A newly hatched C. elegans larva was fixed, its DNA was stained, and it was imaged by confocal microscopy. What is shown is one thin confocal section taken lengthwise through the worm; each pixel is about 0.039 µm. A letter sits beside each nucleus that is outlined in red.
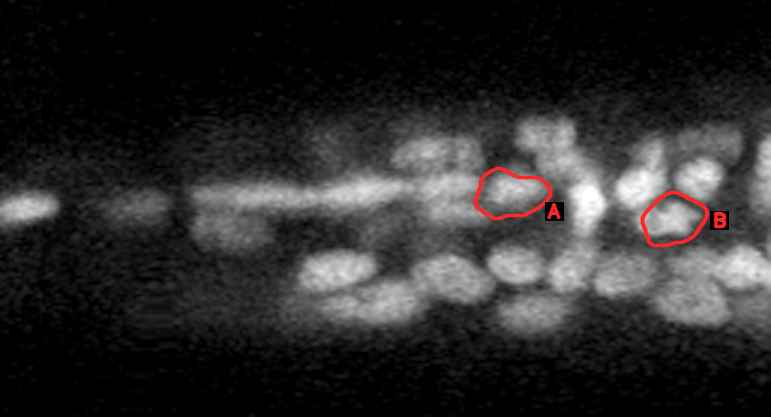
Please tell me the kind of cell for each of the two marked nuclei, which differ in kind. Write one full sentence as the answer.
A is the nucleus of a neuron; B is the nucleus of a pharyngeal muscle cell.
